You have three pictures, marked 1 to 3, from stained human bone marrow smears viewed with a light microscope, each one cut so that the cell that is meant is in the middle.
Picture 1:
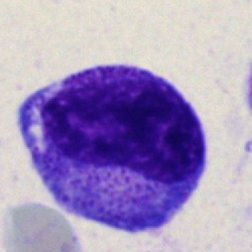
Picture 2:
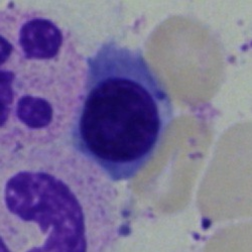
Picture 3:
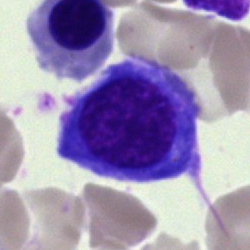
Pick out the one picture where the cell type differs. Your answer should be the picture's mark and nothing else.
1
